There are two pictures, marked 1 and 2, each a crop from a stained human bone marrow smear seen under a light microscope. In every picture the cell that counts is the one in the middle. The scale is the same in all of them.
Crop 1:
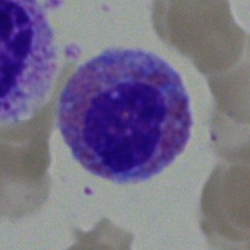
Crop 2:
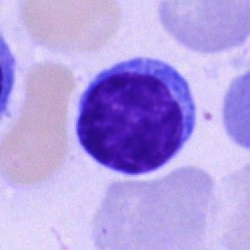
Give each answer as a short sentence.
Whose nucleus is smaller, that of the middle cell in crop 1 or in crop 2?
It is the nucleus in crop 1; the one in crop 2 has about 1.5 times its area.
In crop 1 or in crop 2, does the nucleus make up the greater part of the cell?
It is the cell in crop 2 that is filled more by its nucleus.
